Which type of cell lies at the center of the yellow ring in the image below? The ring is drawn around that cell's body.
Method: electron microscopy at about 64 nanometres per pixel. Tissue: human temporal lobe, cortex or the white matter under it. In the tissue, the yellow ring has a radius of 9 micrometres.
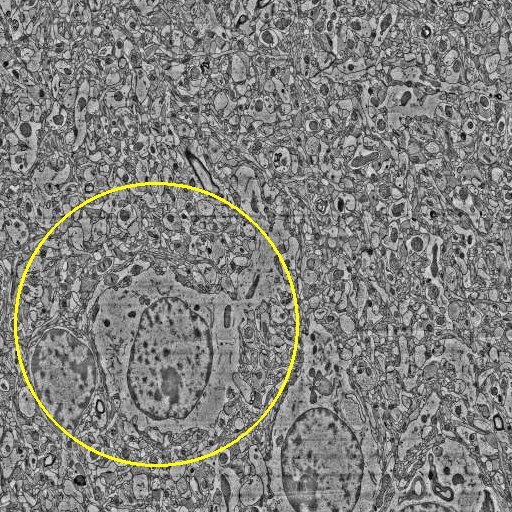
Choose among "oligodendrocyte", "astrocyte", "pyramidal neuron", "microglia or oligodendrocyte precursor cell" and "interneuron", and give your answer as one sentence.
The cell body at the center belongs to an astrocyte.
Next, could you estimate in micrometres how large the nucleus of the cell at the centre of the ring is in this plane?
The ringed cell's nucleus is about 8 micrometres long and 5 micrometres wide in this plane.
